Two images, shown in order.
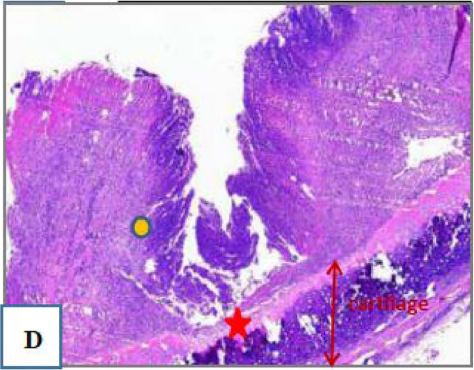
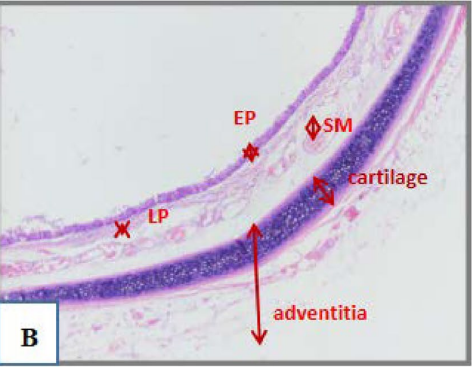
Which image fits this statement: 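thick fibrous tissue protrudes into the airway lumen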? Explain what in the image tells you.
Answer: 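First image: a bulky mass of tissue above the cartilage fills most of the lumen, leaving a narrow cleft. Second image: a thin, even wall lines an open, empty lumen.
Hence: the first image.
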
